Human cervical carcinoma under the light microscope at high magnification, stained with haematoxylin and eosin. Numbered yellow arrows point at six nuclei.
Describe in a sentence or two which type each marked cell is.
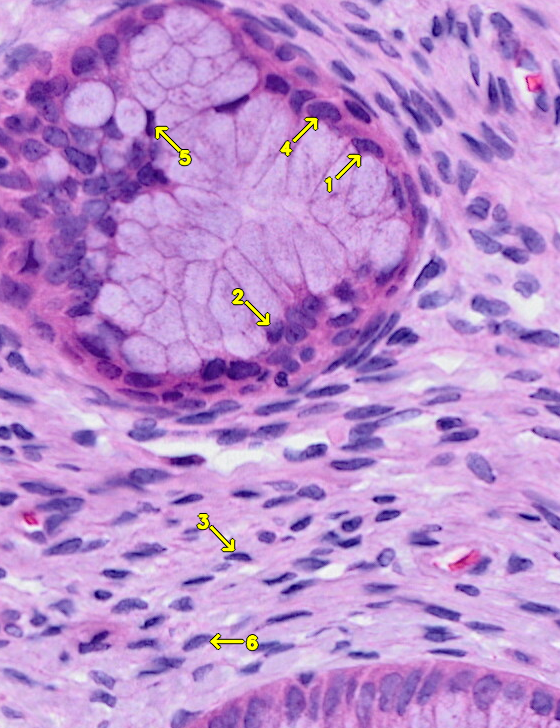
Cells 1, 2, 4 and 5 are secretory epithelial cells. Cells 3 and 6 are fibroblasts.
